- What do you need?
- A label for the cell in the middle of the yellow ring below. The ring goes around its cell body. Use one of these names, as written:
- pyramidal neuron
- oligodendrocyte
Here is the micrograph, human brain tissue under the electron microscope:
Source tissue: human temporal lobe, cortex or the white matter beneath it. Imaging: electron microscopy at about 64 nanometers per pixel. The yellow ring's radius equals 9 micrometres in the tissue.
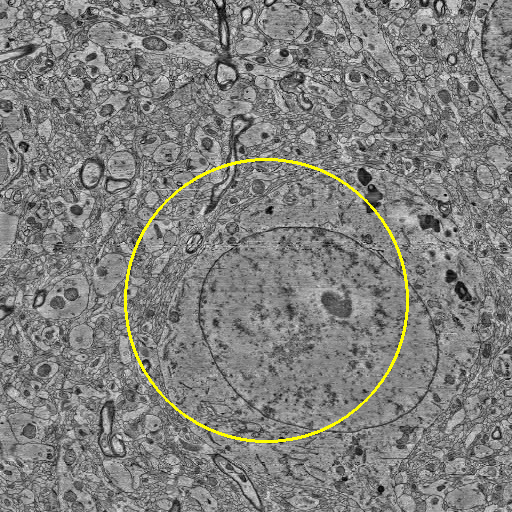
pyramidal neuron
